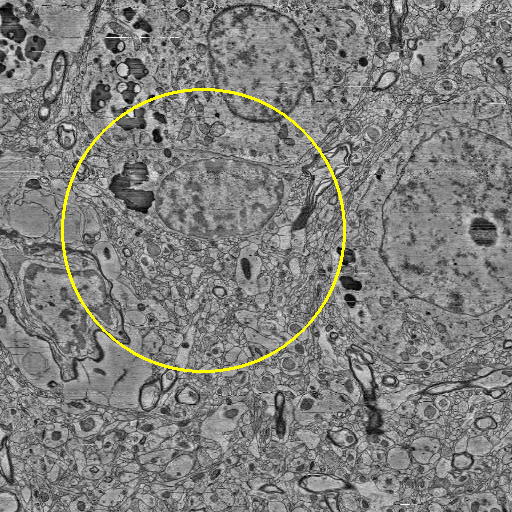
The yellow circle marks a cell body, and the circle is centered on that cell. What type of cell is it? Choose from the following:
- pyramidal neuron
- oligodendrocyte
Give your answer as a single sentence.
This cell body belongs to an oligodendrocyte.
